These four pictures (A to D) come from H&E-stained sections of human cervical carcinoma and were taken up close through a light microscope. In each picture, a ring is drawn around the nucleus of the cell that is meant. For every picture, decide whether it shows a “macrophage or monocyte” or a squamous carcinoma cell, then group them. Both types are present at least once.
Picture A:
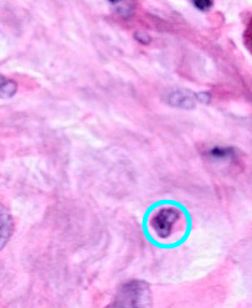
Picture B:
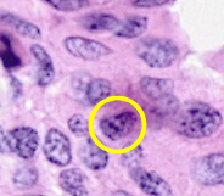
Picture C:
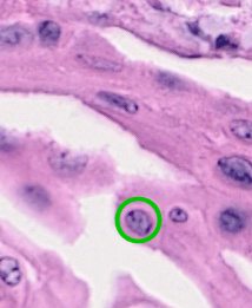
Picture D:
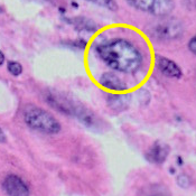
A: macrophage or monocyte
B: squamous carcinoma cell
C: squamous carcinoma cell
D: squamous carcinoma cell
